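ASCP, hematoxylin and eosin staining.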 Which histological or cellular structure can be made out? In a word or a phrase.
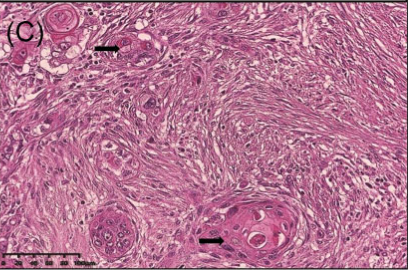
keratin pearls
